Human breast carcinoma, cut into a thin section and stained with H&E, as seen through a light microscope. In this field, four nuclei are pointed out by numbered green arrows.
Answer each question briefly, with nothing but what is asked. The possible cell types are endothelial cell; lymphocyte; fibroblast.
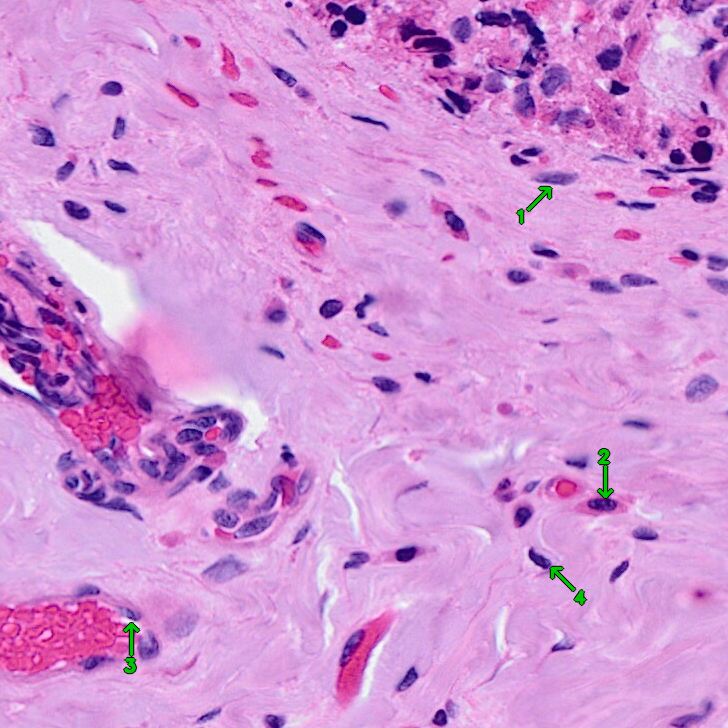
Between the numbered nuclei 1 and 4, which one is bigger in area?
1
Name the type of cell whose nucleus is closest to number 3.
endothelial cell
